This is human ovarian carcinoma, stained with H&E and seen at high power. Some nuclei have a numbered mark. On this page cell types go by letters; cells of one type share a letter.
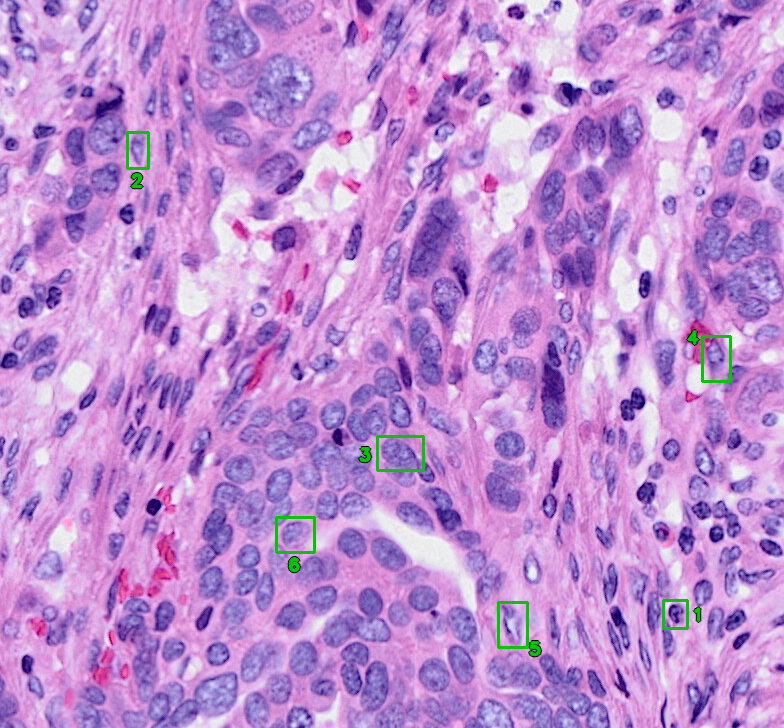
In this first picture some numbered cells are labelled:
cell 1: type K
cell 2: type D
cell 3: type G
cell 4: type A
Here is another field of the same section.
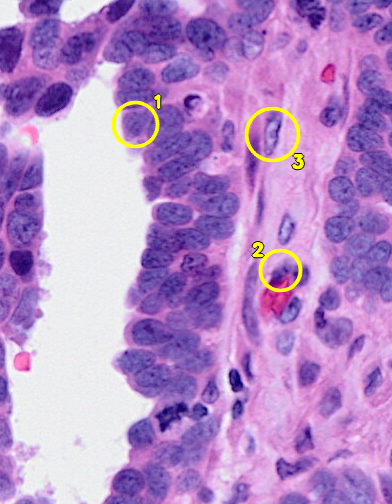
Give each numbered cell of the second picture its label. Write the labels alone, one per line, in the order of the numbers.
type G
type A
type D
